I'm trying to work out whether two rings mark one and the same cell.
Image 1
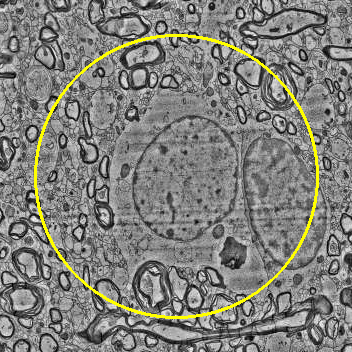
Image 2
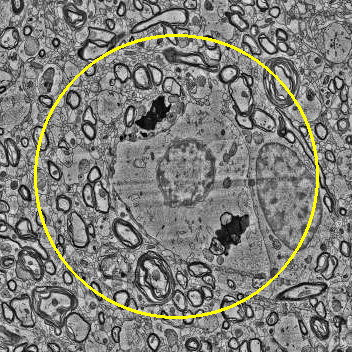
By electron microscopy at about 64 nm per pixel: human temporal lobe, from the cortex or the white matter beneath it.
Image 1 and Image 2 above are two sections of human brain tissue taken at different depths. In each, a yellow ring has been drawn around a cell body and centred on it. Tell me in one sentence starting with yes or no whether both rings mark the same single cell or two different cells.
Yes, both yellow rings were placed on the same cell.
